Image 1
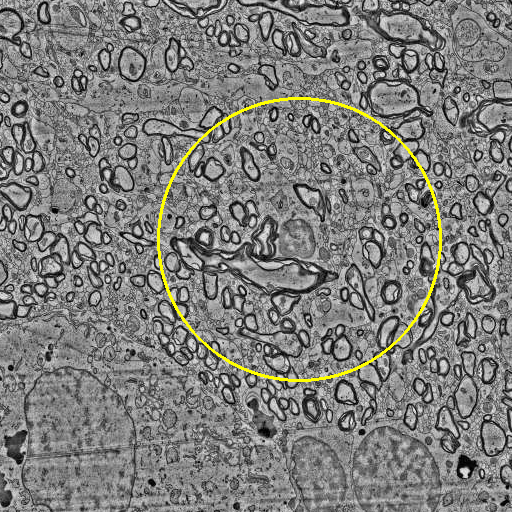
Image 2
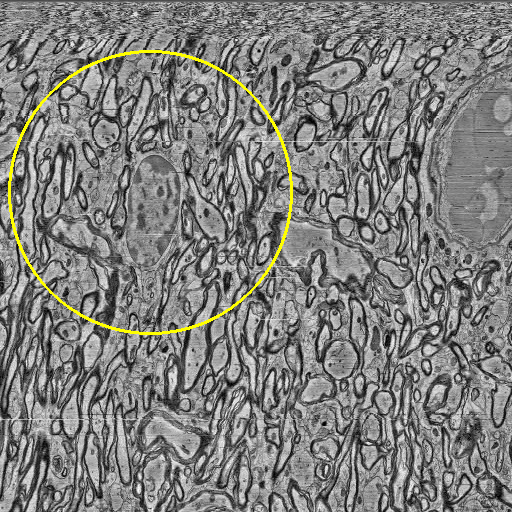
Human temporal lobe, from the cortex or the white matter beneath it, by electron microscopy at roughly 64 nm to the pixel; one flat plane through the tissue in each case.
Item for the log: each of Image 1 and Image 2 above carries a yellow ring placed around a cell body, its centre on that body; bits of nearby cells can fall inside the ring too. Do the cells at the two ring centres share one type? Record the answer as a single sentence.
No, the two cells at the ring centres in Image 1 and Image 2 are of two types.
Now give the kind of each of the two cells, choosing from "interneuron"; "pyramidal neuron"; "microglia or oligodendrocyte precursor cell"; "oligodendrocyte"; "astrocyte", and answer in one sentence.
The cell in the first picture is an oligodendrocyte, and the cell in the second is a microglial cell or oligodendrocyte precursor cell.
